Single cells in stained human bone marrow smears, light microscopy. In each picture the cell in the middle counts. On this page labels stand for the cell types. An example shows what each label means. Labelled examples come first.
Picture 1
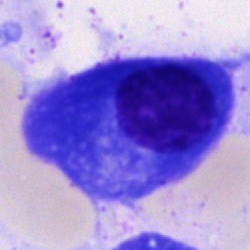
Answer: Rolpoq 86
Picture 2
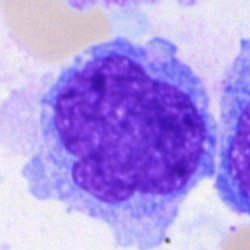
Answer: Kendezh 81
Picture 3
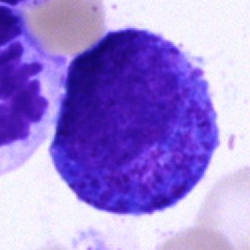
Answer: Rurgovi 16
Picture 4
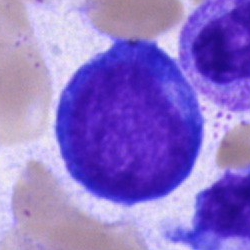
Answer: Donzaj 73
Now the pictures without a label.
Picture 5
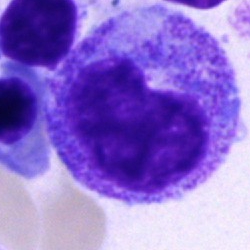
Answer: Rurgovi 16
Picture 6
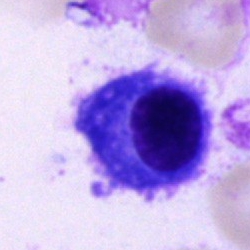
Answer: Rolpoq 86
